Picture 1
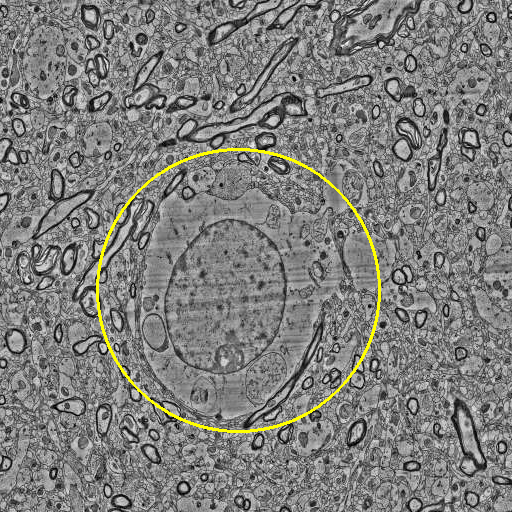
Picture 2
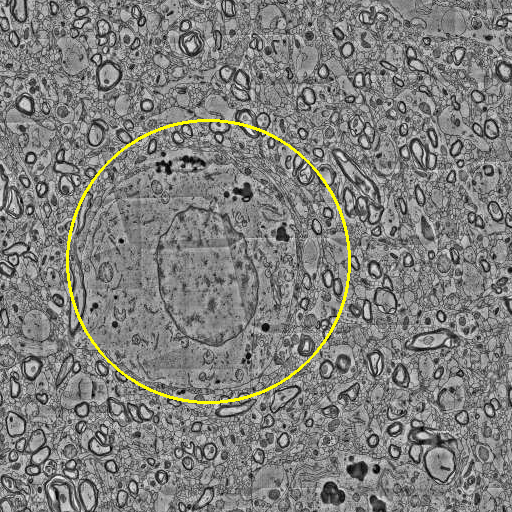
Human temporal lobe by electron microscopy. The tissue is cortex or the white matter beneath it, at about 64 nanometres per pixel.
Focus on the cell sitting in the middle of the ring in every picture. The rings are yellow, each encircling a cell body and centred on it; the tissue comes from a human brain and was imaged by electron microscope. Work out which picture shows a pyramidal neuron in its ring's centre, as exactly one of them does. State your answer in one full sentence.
In picture 2, the ring is centred on the cell in question.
